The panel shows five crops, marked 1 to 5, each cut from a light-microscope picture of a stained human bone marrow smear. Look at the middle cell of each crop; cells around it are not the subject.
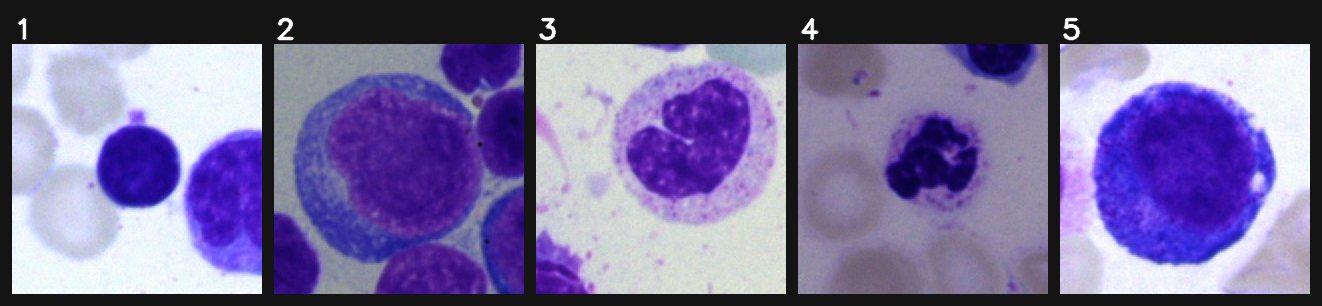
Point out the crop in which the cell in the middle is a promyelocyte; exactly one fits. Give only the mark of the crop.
5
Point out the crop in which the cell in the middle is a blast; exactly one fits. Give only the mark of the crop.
2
